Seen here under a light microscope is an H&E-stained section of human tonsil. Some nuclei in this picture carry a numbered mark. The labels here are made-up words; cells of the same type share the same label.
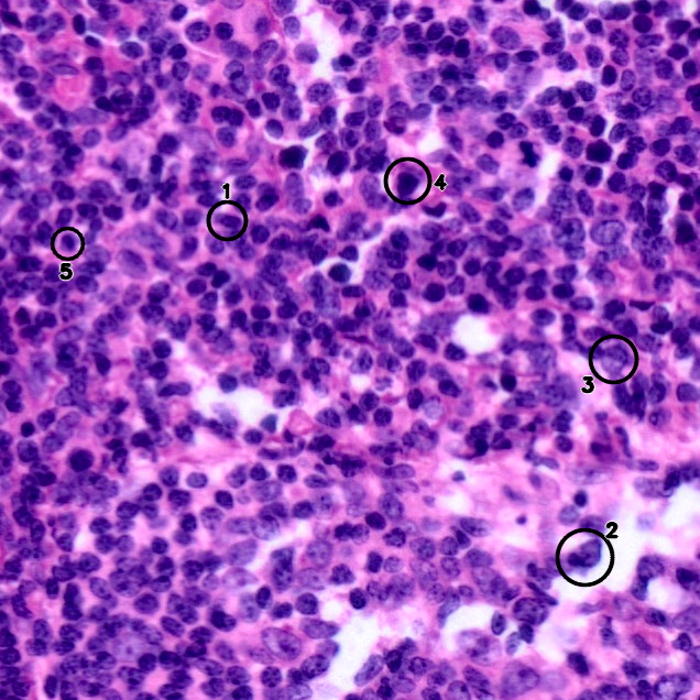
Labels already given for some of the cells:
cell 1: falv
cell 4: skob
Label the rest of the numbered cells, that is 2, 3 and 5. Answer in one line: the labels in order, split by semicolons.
skob; skob; falv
